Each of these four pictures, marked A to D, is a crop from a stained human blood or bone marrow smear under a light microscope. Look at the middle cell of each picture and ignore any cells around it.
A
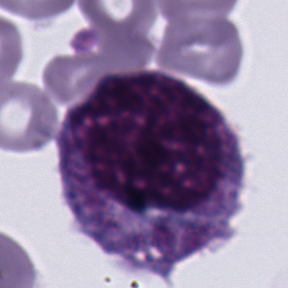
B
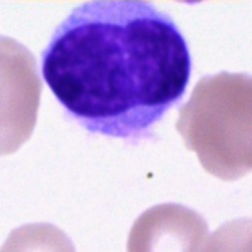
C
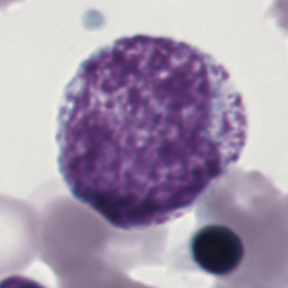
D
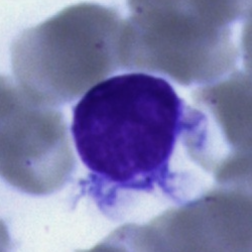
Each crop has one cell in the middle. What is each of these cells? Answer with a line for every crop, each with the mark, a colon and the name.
A: promyelocyte
B: hairy cell
C: promyelocyte
D: hairy cell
